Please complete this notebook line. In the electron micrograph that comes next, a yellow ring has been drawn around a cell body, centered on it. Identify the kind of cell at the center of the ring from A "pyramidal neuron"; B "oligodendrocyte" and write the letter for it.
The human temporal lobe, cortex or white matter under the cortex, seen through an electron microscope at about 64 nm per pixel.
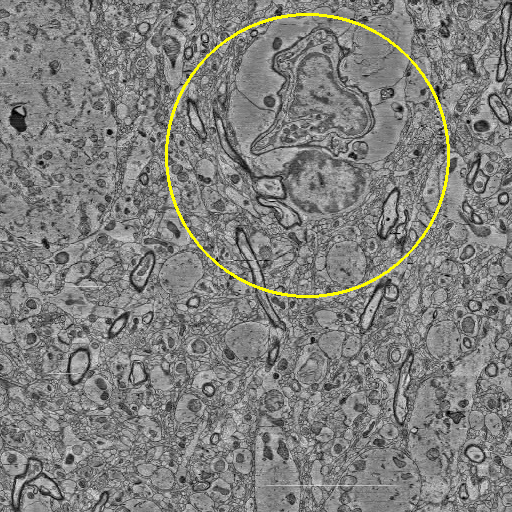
B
